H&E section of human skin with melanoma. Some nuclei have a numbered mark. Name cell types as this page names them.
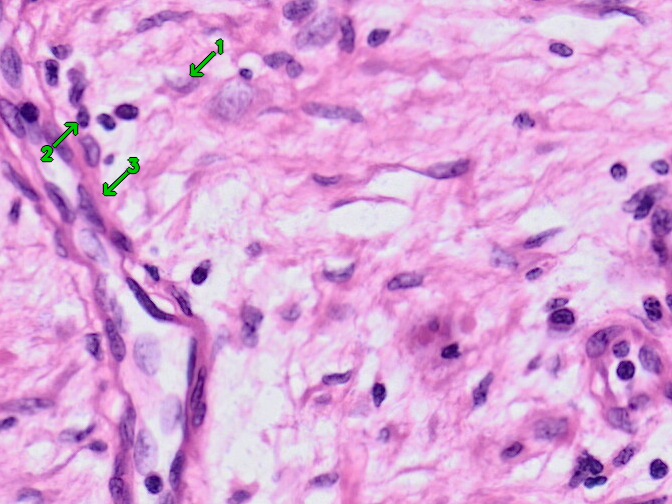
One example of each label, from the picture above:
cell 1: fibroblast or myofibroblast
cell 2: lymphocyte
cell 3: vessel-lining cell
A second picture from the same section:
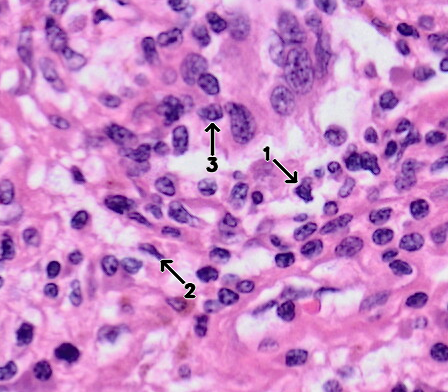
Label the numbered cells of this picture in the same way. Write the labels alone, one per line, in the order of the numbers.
lymphocyte
fibroblast or myofibroblast
lymphocyte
